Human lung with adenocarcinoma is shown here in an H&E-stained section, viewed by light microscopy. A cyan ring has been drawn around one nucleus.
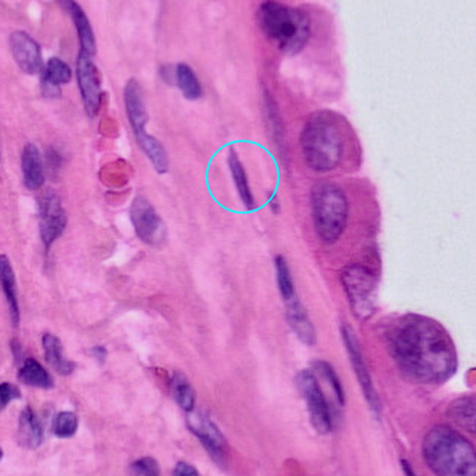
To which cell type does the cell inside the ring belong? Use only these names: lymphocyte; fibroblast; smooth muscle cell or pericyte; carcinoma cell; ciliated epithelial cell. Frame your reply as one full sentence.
As classified here, the cell inside the ring is a fibroblast.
